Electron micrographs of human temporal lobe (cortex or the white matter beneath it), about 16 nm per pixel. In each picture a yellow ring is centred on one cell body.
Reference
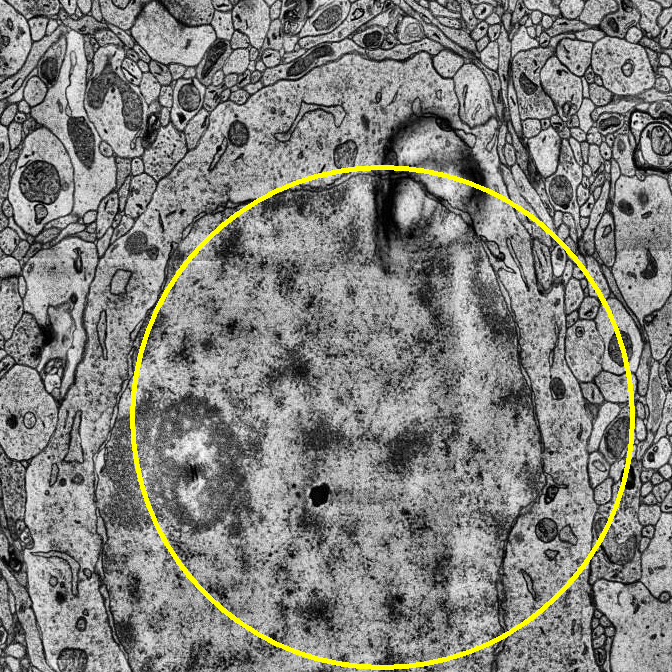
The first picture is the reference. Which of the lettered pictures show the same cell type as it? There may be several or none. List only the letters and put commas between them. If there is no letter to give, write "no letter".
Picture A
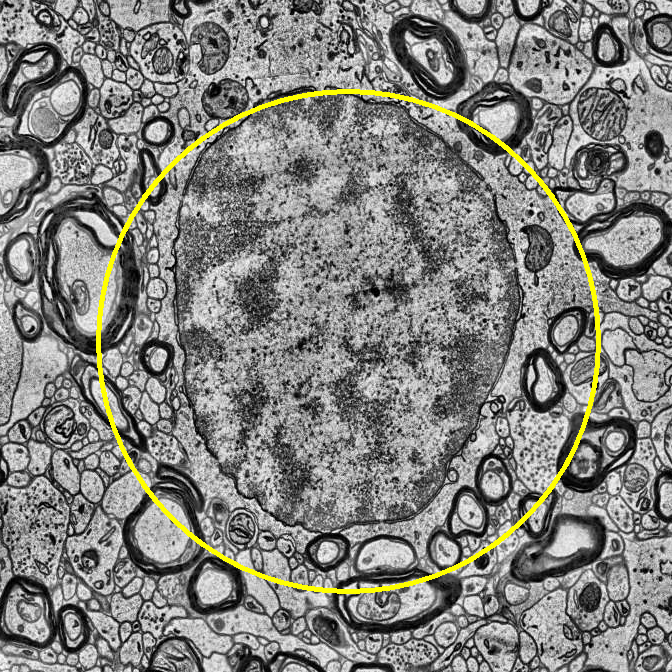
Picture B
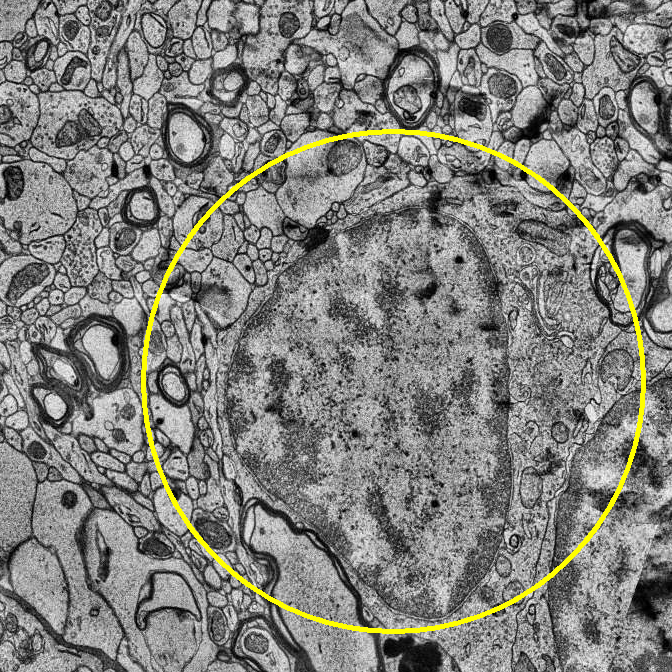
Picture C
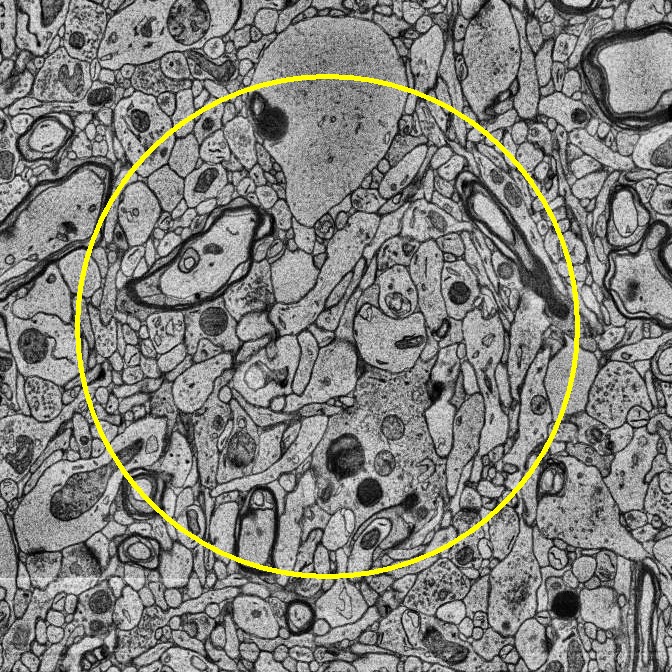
no letter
